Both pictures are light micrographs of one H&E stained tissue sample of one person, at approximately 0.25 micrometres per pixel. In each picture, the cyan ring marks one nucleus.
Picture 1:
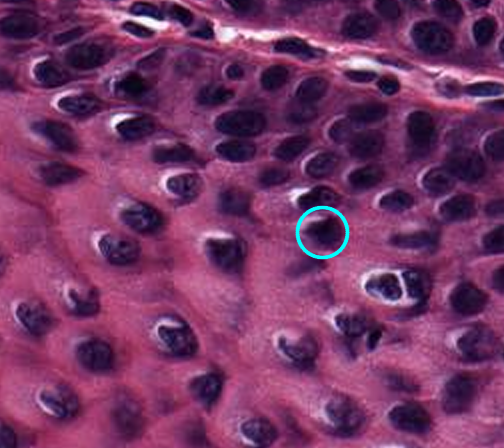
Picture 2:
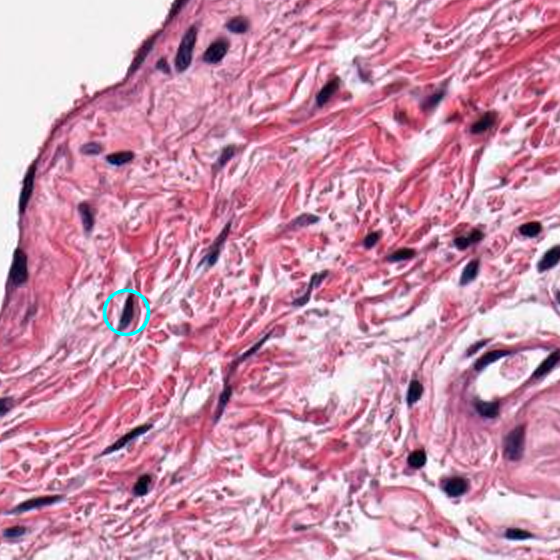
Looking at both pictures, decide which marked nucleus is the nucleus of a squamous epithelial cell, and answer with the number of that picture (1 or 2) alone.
1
